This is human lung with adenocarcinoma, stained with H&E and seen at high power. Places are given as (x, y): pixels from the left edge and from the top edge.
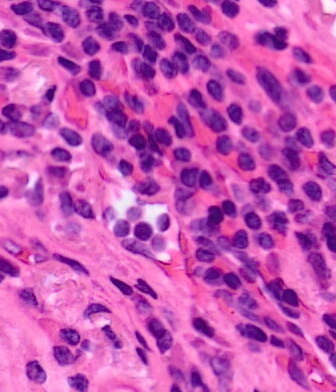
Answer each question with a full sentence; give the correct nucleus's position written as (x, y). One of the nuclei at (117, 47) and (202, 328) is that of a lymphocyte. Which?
Of the pair, the nucleus located at (117, 47) belongs to a lymphocyte.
